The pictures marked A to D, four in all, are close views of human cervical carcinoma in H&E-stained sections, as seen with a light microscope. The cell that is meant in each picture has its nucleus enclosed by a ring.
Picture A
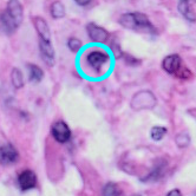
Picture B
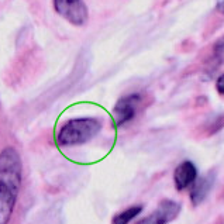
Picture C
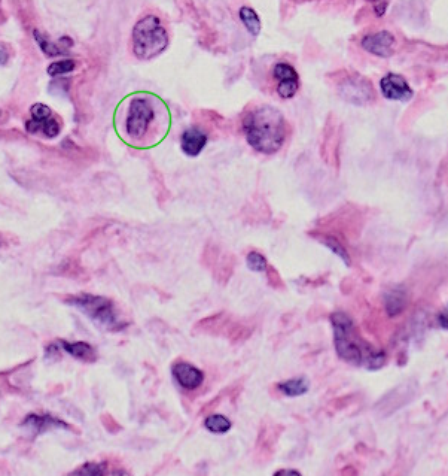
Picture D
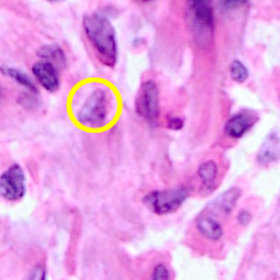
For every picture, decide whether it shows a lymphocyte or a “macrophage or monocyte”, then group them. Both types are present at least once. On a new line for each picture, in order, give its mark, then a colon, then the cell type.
A: lymphocyte
B: macrophage or monocyte
C: macrophage or monocyte
D: macrophage or monocyte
